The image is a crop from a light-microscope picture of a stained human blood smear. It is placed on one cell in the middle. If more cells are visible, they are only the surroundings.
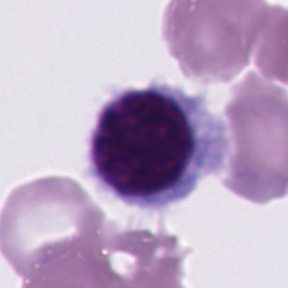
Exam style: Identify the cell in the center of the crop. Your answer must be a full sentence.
The identification for the central cell is a hairy cell.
